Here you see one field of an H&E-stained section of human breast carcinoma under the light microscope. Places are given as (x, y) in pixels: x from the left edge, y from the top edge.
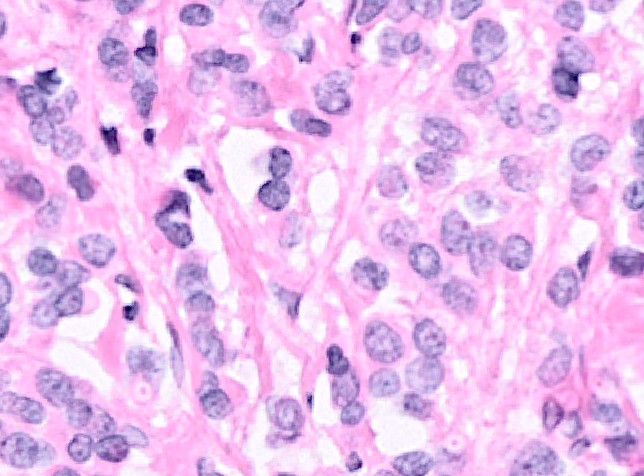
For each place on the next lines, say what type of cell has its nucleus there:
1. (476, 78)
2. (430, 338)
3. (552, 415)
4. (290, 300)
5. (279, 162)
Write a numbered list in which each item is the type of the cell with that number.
1. carcinoma cell
2. carcinoma cell
3. endothelial cell
4. fibroblast
5. carcinoma cell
